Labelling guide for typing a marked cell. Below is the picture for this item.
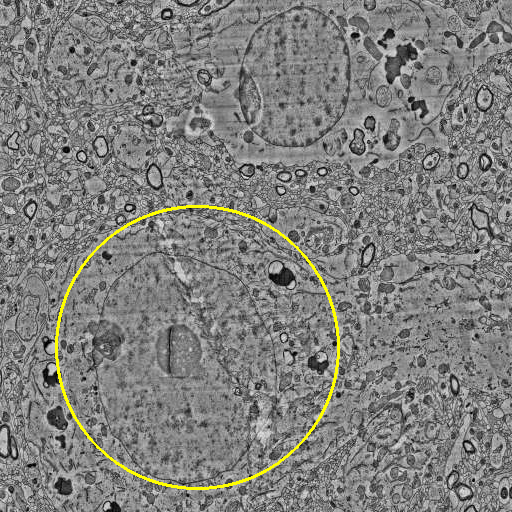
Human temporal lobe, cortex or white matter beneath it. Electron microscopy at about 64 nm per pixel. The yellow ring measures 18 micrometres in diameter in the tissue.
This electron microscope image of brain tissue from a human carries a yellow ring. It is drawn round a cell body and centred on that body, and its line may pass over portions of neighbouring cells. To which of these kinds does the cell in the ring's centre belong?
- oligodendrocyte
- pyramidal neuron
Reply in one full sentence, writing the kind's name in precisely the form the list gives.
Here we have a pyramidal neuron at the centre of the yellow ring in the picture.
